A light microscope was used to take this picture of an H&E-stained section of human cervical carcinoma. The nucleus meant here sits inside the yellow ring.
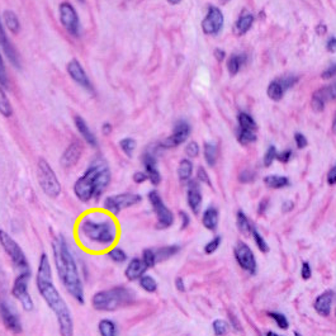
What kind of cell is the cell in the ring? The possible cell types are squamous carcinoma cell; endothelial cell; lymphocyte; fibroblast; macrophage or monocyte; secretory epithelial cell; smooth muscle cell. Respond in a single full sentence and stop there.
The category to which the cell in the ring belongs is that of a smooth muscle cell.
